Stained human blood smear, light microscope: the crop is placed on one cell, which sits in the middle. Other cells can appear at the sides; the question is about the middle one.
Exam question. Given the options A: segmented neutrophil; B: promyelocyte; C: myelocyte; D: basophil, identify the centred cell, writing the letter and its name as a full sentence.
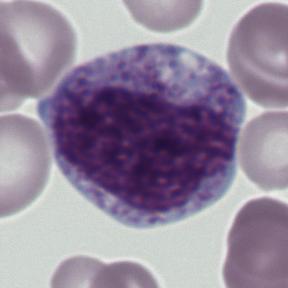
The correct option, B, names the middle cell as a promyelocyte.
